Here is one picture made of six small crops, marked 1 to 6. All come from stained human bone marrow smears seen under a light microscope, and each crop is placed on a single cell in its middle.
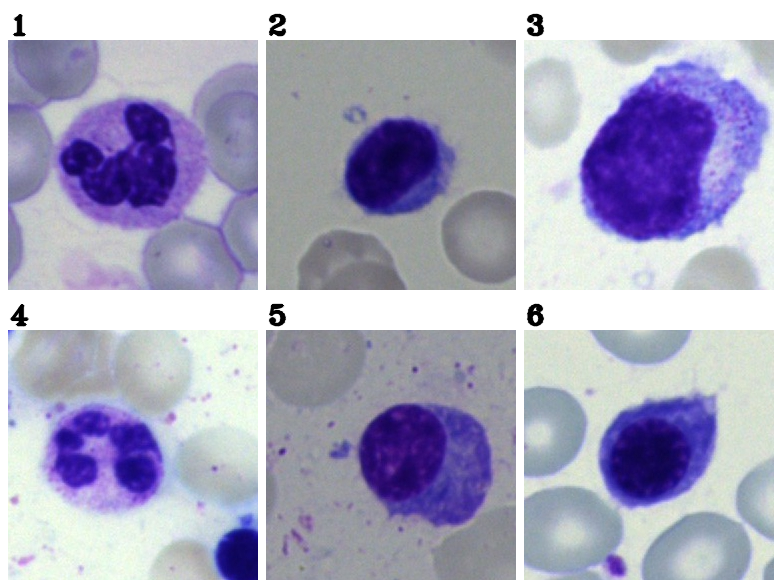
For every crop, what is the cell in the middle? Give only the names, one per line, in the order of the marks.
segmented neutrophil
lymphocyte
myelocyte
segmented neutrophil
plasma cell
erythroblast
